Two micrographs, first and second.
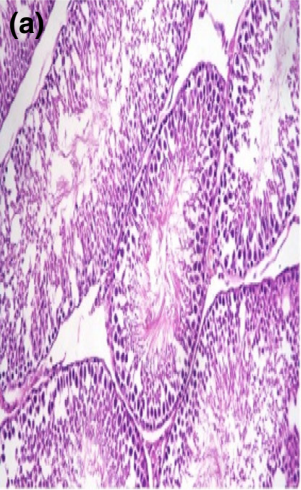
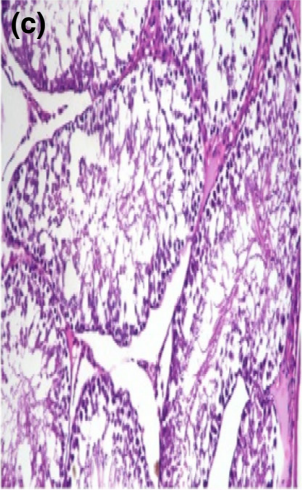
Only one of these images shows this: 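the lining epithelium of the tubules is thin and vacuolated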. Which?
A: The second image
